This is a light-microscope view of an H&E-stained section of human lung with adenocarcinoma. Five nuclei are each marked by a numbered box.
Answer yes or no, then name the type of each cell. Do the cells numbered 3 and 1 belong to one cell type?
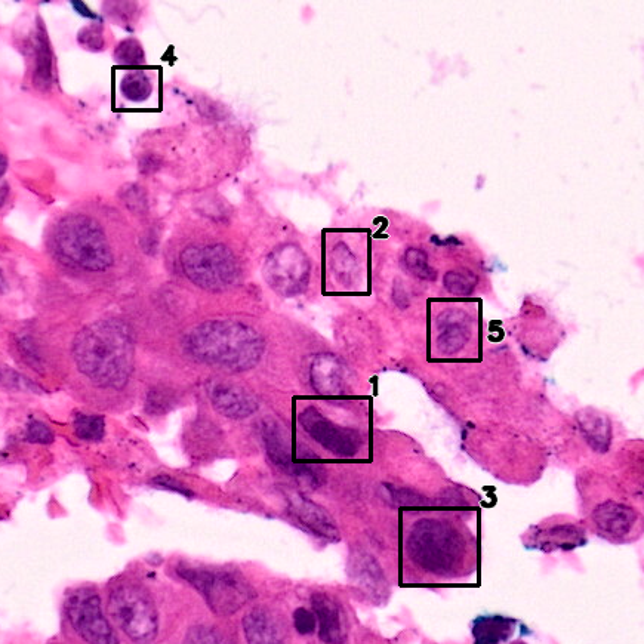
Yes, both are carcinoma cells.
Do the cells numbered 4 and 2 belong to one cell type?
No, cell 4 is a lymphocyte and cell 2 is a macrophage or monocyte.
